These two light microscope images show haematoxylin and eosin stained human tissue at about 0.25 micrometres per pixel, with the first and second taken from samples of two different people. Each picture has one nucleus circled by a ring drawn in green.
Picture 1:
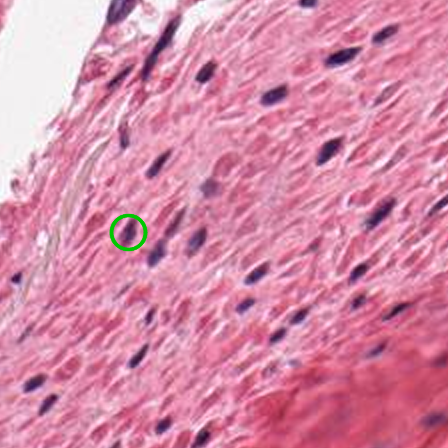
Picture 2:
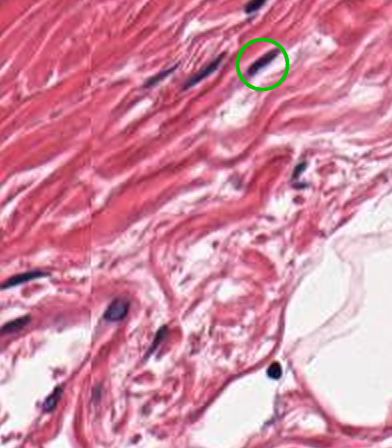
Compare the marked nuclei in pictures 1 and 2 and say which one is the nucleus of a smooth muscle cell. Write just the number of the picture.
1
